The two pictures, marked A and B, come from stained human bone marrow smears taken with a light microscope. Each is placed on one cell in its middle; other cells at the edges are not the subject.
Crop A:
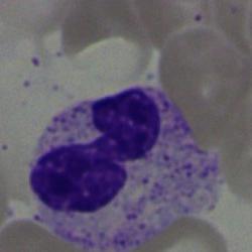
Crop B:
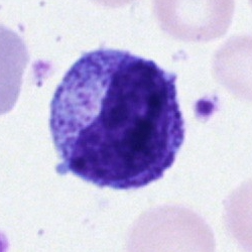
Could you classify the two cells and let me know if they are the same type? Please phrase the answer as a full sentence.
No, crop A displays a band neutrophil, and crop B displays a metamyelocyte.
